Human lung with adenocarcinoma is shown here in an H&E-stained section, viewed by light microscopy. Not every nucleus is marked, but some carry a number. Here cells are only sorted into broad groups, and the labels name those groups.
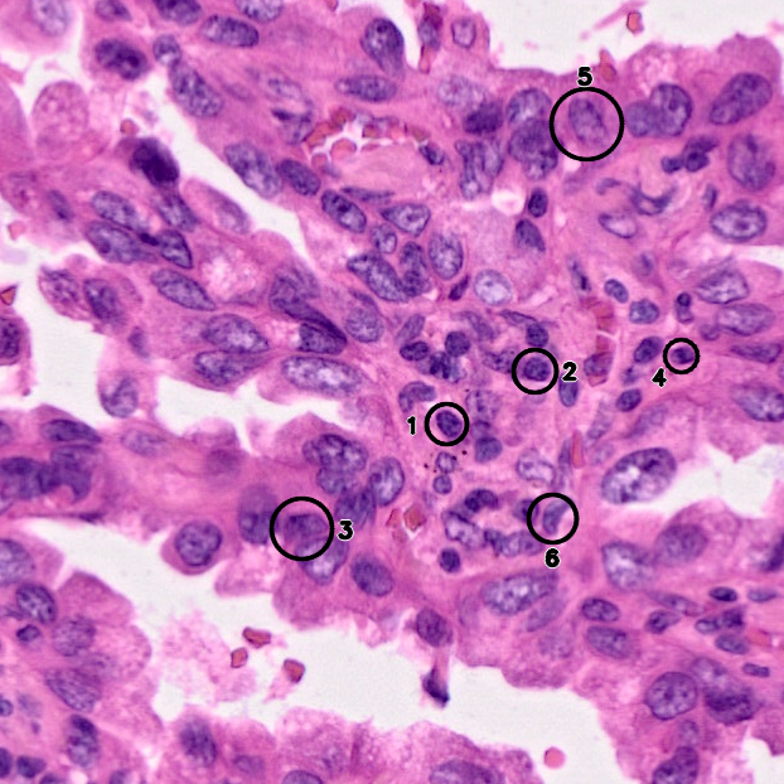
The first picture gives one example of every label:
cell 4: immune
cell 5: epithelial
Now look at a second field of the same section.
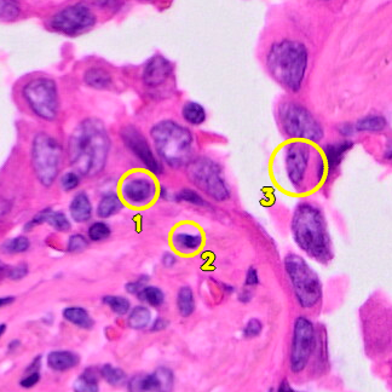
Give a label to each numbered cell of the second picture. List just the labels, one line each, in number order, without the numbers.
immune
immune
epithelial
